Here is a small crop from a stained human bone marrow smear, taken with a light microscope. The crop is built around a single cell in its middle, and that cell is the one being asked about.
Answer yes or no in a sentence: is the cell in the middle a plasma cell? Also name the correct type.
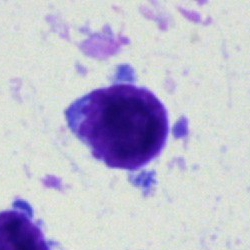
No, at the middle of the crop is a lymphocyte, not a plasma cell.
